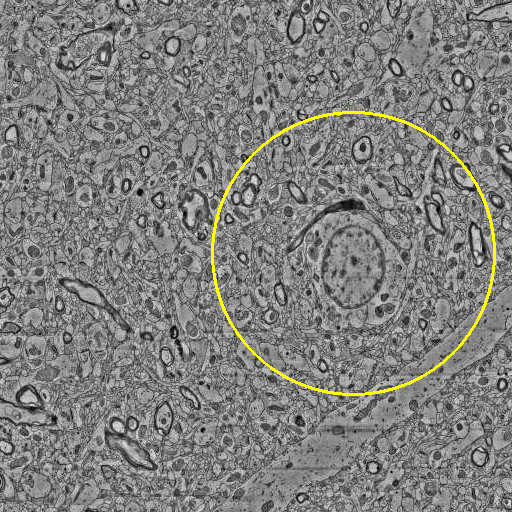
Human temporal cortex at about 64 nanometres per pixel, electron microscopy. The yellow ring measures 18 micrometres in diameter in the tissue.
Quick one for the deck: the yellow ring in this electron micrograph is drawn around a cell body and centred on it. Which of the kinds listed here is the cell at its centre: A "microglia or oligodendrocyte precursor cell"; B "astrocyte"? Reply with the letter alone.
B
